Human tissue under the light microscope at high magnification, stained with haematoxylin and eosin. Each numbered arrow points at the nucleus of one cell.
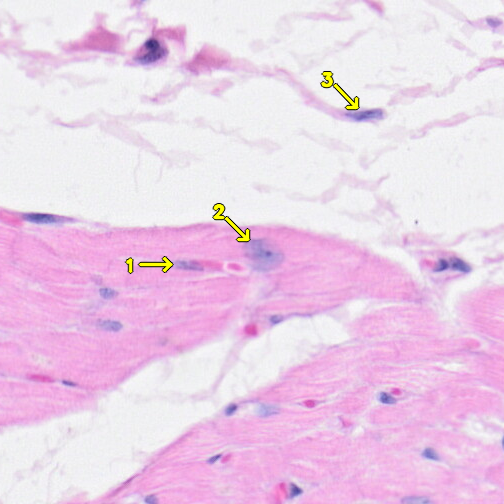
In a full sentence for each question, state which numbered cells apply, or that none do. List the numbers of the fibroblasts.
Cell 3 is a fibroblast, while all remaining marked cells are of other types.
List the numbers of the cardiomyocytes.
The cell labelled 2 is a cardiomyocyte, while the remaining numbered cells are not.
